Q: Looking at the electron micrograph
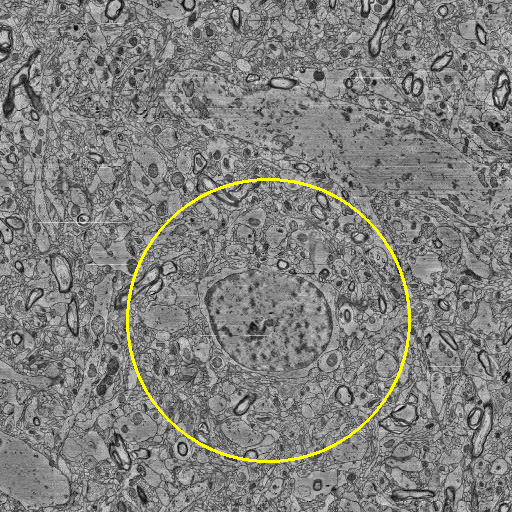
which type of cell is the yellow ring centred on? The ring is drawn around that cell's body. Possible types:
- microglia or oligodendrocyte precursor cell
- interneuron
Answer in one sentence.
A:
The yellow ring is centred on a microglial cell or oligodendrocyte precursor cell.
